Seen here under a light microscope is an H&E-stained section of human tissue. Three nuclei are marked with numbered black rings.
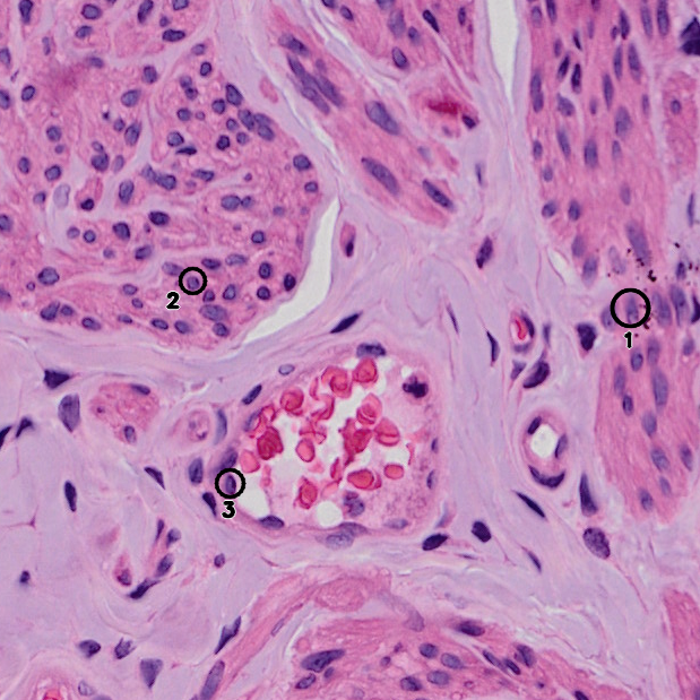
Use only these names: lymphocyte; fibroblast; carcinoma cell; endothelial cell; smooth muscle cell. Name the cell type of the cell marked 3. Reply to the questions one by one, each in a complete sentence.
The cell carrying label 3 is identified as an endothelial cell.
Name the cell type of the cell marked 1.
Looking at the numbered marks, cell 1 is a smooth muscle cell.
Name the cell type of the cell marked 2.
In the marked set, the cell given number 2 is a smooth muscle cell.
